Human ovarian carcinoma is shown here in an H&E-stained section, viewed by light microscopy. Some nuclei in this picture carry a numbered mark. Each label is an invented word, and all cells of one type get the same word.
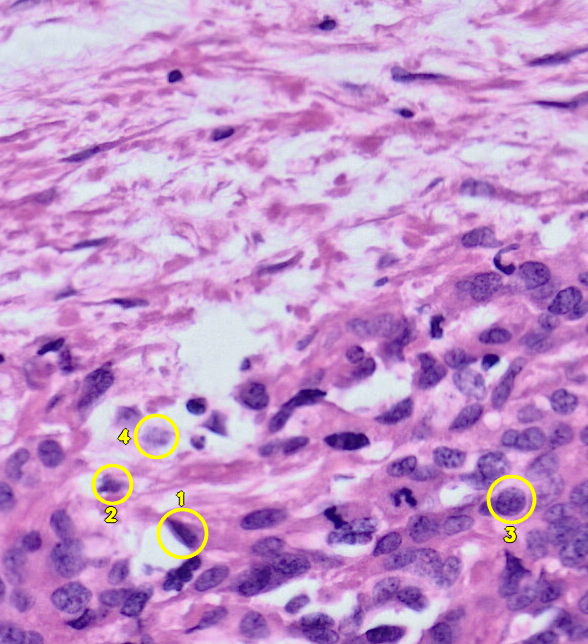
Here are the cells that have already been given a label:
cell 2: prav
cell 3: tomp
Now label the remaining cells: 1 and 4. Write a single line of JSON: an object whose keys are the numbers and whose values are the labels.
{"1": "tomp", "4": "prav"}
